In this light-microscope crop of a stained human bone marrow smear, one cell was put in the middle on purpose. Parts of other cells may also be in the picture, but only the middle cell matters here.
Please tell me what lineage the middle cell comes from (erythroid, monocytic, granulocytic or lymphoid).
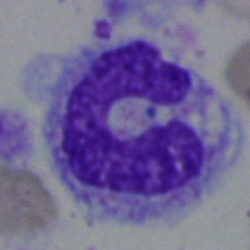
monocytic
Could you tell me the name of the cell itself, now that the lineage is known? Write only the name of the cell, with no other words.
monocyte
